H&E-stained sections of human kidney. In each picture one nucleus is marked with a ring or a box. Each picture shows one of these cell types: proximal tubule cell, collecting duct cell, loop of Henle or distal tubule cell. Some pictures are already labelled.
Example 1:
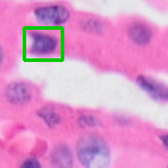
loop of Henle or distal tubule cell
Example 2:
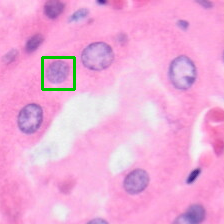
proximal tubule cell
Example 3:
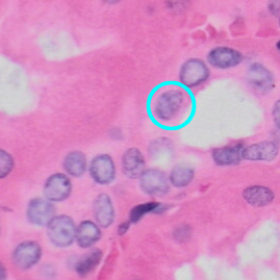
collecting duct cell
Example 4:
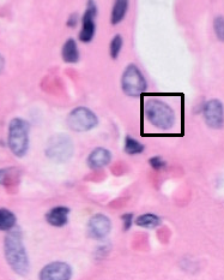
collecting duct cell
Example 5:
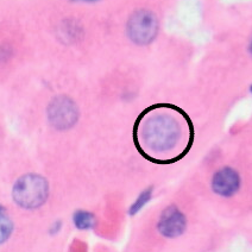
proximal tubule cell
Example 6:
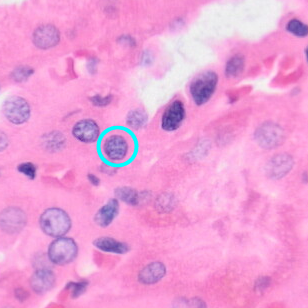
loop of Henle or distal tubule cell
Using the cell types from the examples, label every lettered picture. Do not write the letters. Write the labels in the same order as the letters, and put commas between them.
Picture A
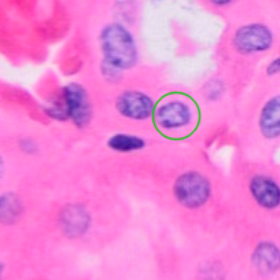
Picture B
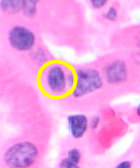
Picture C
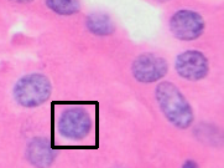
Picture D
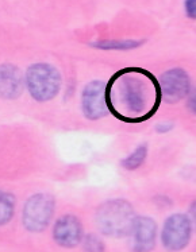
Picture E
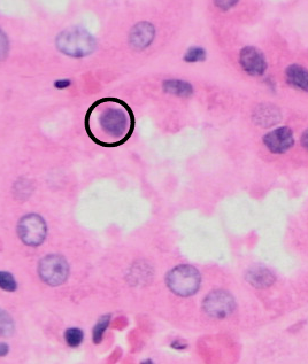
collecting duct cell, collecting duct cell, loop of Henle or distal tubule cell, collecting duct cell, proximal tubule cell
